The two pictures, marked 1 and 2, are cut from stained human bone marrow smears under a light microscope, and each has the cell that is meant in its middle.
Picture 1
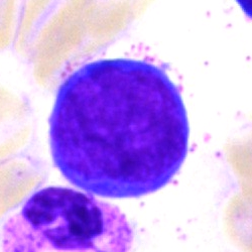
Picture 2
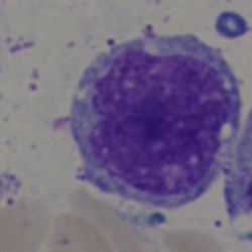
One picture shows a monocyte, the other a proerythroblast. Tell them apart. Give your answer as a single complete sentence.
In picture 1 the cell is a proerythroblast; in picture 2, a monocyte.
